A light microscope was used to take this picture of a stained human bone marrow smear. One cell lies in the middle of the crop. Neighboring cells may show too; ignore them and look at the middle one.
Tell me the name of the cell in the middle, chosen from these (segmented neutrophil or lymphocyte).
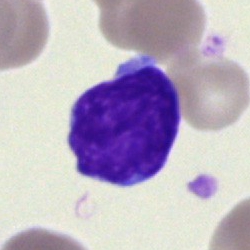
lymphocyte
